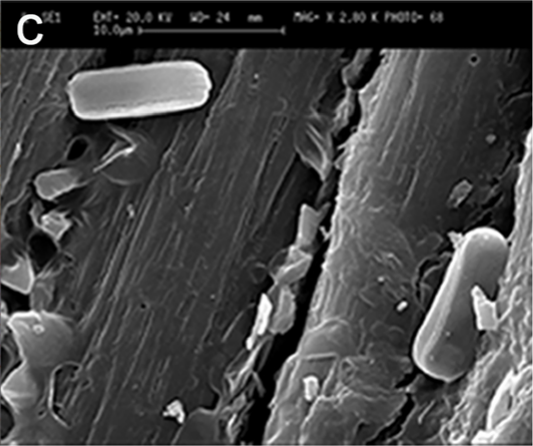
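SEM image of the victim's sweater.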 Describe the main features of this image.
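One lies in the upper part of the field and the other in the lower right, each resting on broad fibre surfaces. The fibres carry fine longitudinal striations and are scattered with small angular fragments of debris.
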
